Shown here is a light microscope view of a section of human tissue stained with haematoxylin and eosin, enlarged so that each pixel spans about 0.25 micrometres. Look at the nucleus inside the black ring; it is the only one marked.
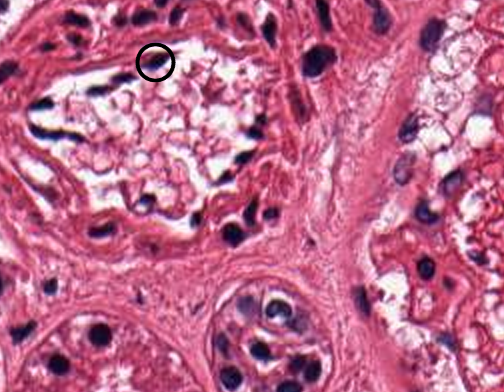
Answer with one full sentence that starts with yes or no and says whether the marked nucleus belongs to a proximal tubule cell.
No, the marked nucleus is not housed in a proximal tubule cell but in a supporting cell.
